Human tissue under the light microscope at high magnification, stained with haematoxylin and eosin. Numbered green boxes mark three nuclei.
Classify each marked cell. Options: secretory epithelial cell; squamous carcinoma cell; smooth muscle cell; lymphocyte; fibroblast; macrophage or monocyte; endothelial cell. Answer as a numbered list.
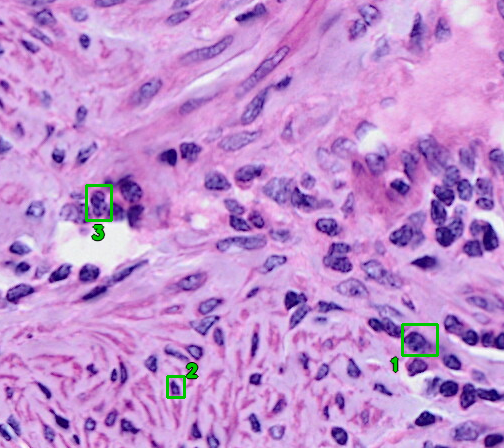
1. lymphocyte
2. smooth muscle cell
3. lymphocyte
